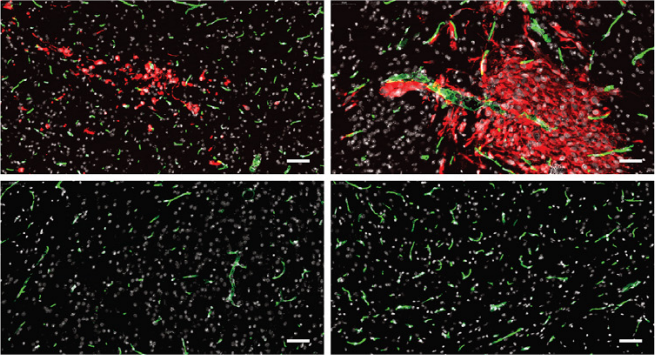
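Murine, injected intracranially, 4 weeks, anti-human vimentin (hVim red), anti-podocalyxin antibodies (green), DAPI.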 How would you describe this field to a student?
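In the upper left field, elongated red cells are scattered in a loose band through the tissue, spreading between the evenly distributed white nuclei and thin green vessel threads. In the upper right field, red cells form a dense mass, and many red spindle-shaped cells lie stretched along a thicker green vessel that crosses the field. The two lower fields show only the white nuclei of the brain tissue and a network of fine green branching vessels, without any red cells.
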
